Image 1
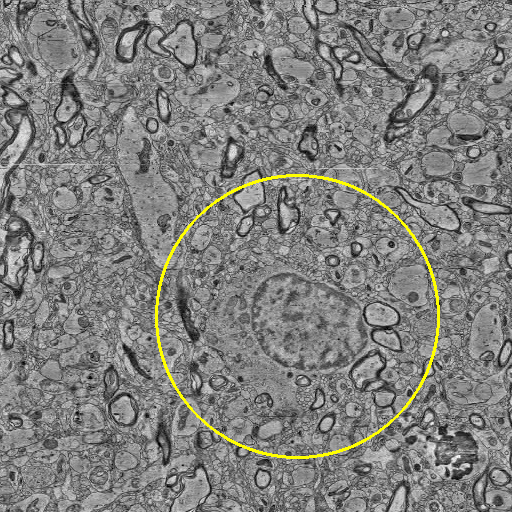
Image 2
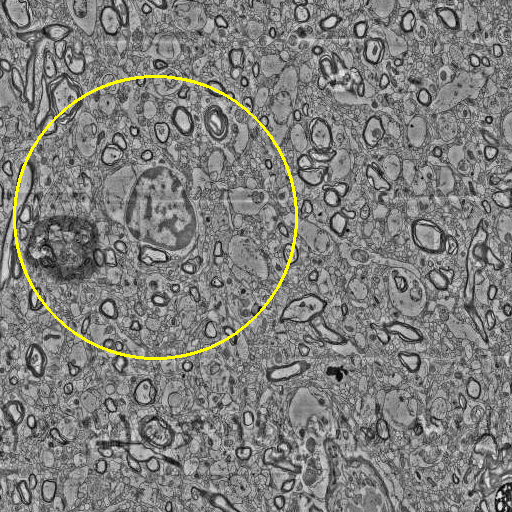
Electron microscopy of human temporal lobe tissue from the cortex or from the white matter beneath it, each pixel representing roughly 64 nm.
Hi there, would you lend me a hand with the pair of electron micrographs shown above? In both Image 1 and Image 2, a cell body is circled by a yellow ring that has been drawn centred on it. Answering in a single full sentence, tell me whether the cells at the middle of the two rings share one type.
No, the ringed cells in Image 1 and Image 2 belong to two types.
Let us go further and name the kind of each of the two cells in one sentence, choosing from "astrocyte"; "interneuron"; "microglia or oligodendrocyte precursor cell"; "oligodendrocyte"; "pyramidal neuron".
The ring of the first picture is on an oligodendrocyte, the ring of the second on a microglial cell or oligodendrocyte precursor cell.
